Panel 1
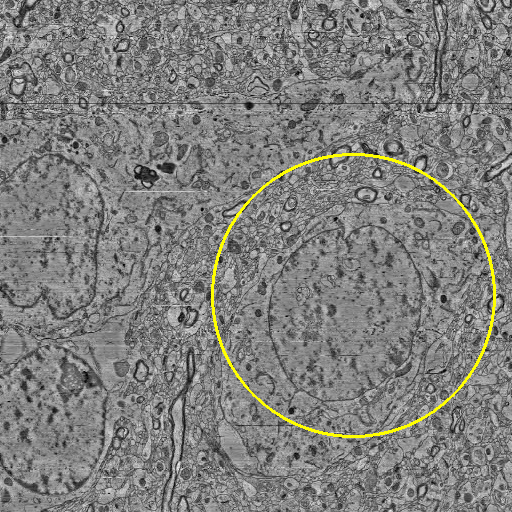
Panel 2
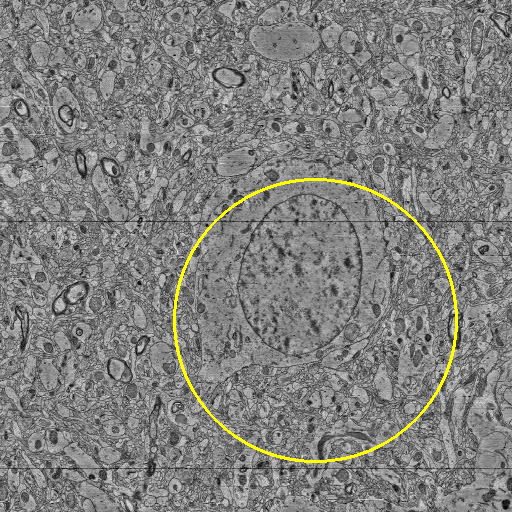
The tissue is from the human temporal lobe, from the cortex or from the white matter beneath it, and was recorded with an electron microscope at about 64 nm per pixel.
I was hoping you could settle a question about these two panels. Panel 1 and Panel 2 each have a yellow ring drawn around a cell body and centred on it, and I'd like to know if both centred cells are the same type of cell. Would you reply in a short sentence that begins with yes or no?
Yes, both are the same type of cell.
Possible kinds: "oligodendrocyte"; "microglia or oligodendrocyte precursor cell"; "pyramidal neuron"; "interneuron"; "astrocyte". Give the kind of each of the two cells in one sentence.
Each of the ringed cells, first and second, is a pyramidal neuron.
